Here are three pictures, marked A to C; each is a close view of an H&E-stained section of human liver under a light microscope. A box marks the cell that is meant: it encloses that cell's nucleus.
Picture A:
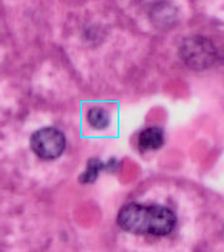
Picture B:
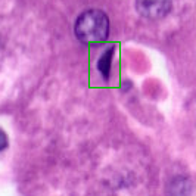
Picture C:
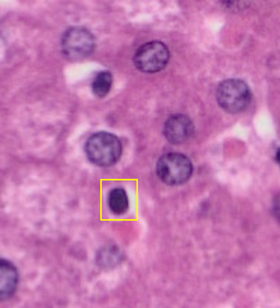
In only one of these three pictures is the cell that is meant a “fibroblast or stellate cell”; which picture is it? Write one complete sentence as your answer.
Picture B shows the “fibroblast or stellate cell”.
